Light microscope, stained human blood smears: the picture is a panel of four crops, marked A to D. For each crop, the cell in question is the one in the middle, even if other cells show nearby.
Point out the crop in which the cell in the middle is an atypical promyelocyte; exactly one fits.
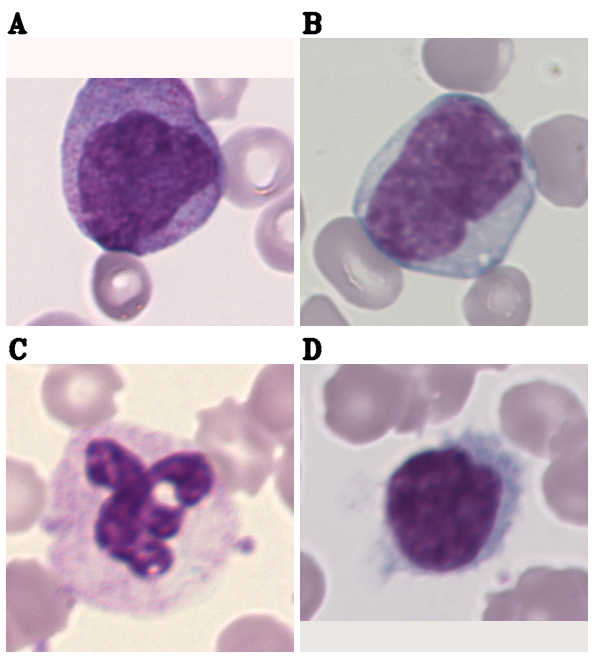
A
